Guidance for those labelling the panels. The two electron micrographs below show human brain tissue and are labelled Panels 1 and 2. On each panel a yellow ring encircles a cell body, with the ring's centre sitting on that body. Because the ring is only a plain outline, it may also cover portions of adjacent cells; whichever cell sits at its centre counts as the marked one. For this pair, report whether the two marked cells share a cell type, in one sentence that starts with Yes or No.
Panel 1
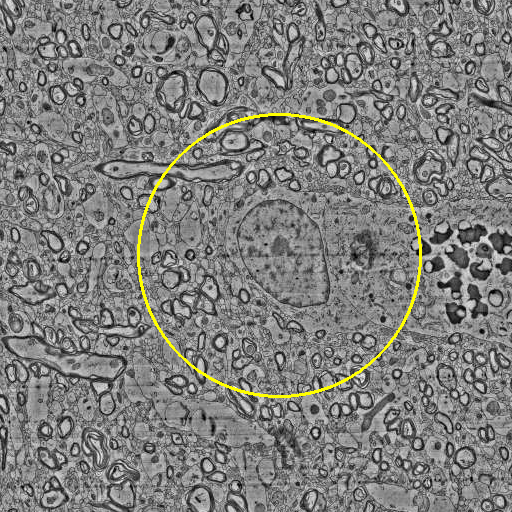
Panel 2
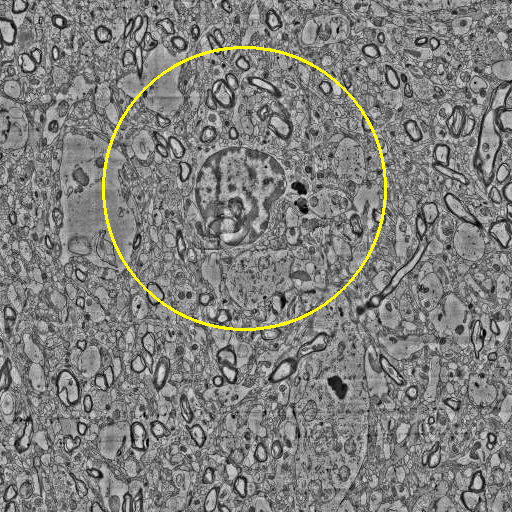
Yes, in Panel 1 and Panel 2 the marked cells at the ring centres share one type.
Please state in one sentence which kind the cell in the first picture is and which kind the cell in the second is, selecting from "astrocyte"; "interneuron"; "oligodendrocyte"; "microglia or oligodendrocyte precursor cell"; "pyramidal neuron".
The cell at the ring centre is a microglial cell or oligodendrocyte precursor cell in both pictures.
